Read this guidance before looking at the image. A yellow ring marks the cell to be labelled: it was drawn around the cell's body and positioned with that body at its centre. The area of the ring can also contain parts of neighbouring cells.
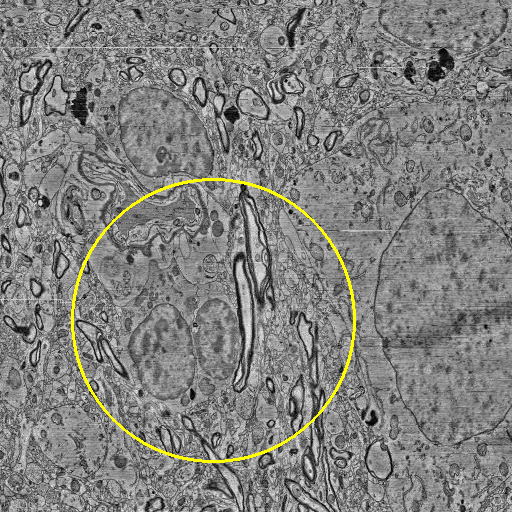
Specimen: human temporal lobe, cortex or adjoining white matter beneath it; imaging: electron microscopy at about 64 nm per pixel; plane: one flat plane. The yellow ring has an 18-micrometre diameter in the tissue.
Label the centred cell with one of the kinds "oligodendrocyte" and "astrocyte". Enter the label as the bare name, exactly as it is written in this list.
oligodendrocyte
